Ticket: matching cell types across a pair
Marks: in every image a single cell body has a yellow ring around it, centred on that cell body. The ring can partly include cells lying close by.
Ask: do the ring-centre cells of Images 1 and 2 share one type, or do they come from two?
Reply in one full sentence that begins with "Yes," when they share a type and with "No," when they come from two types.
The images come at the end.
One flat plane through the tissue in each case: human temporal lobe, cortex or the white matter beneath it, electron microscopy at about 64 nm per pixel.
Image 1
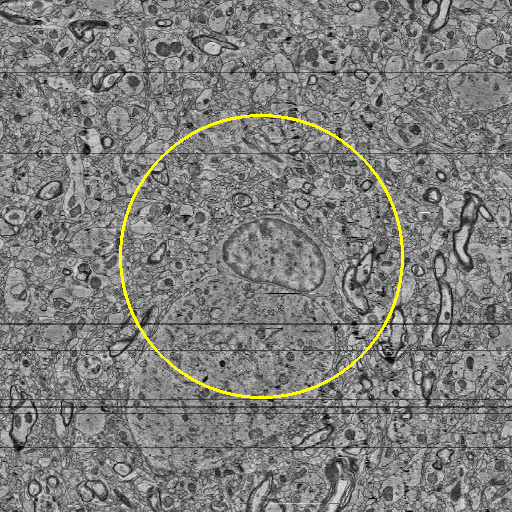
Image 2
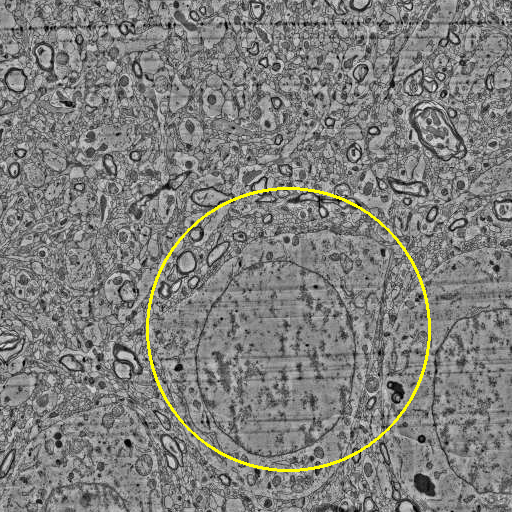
No, the cells in the centres of the rings in Image 1 and Image 2 come from two types.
